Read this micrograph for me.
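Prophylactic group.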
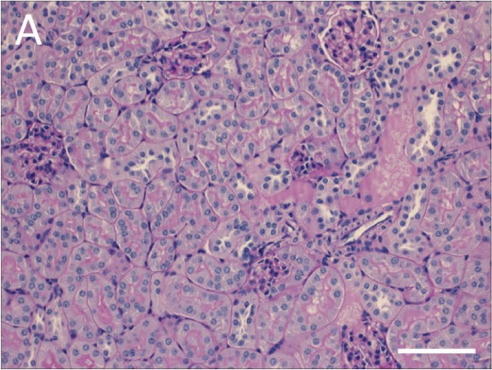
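This is kidney cortex, with several glomeruli appearing as compact round tufts of dark purple nuclei inside a thin capsule and a narrow clear space. Around them lie many tubules cut across, each lined by cuboidal epithelial cells with round nuclei and pale pink cytoplasm around a small lumen.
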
